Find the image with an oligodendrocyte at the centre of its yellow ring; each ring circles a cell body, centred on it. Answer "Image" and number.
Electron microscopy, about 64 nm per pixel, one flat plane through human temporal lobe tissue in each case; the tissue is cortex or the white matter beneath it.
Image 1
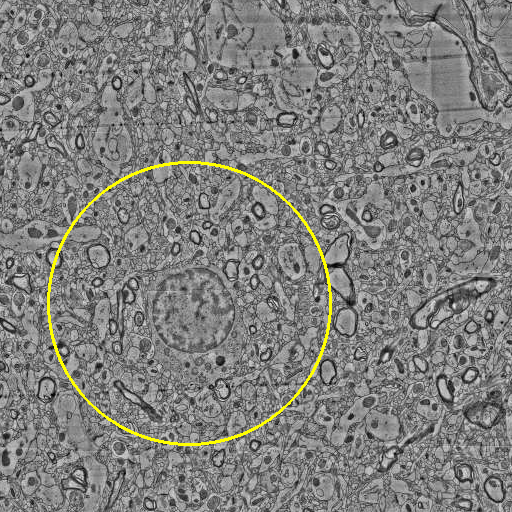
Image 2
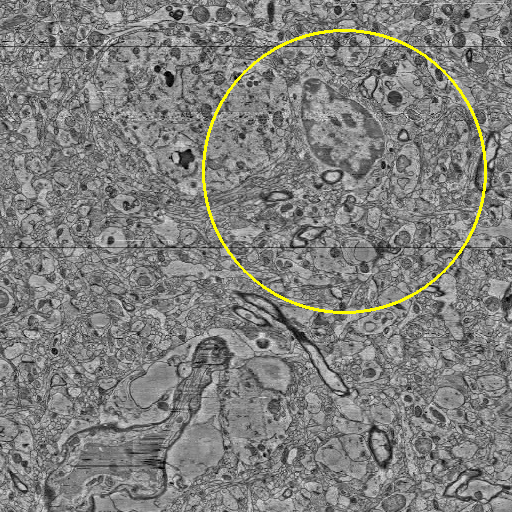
Image 1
